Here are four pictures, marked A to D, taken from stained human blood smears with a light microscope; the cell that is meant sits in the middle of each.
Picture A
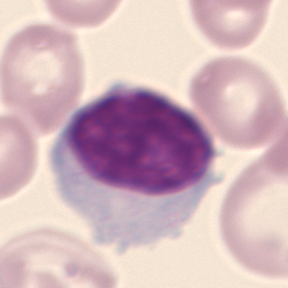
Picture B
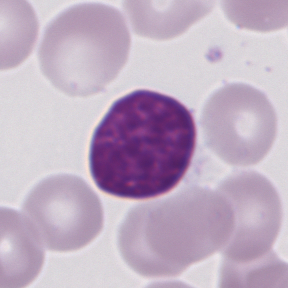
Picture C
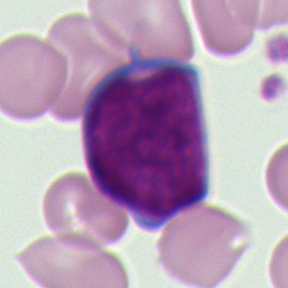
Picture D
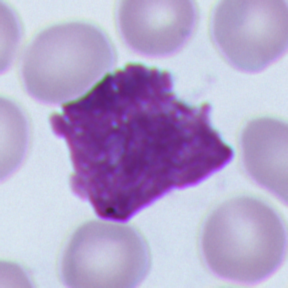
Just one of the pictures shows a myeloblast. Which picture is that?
C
